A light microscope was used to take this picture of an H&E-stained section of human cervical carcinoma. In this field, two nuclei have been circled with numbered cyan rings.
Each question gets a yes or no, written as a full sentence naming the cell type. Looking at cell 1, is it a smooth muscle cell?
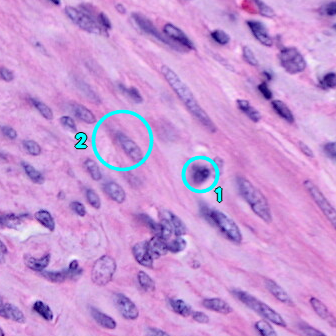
No, it is a lymphocyte that is marked with number 1, not a smooth muscle cell.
